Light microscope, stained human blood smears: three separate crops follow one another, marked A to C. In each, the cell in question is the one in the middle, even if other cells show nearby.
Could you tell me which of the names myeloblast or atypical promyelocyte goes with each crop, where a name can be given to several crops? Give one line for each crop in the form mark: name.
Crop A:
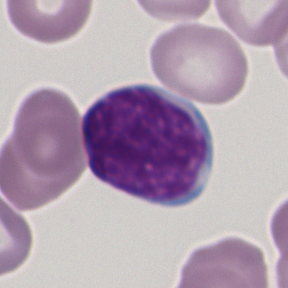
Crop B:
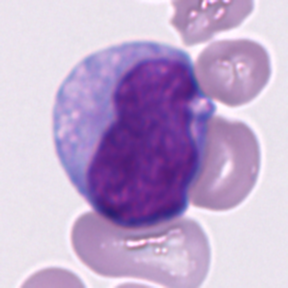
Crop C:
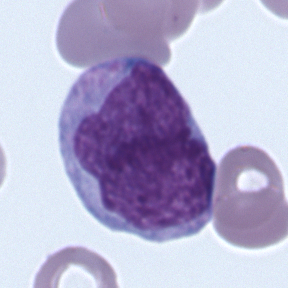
A: myeloblast
B: atypical promyelocyte
C: atypical promyelocyte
